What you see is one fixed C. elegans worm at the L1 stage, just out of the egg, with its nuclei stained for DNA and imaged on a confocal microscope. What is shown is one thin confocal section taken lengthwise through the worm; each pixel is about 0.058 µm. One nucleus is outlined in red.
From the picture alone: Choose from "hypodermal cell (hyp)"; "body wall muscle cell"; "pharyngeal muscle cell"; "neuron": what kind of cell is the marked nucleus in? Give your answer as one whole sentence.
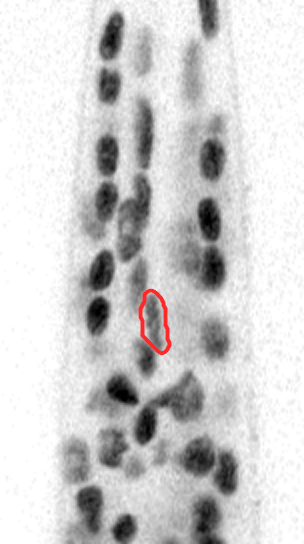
The marked nucleus belongs to a pharyngeal muscle cell.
